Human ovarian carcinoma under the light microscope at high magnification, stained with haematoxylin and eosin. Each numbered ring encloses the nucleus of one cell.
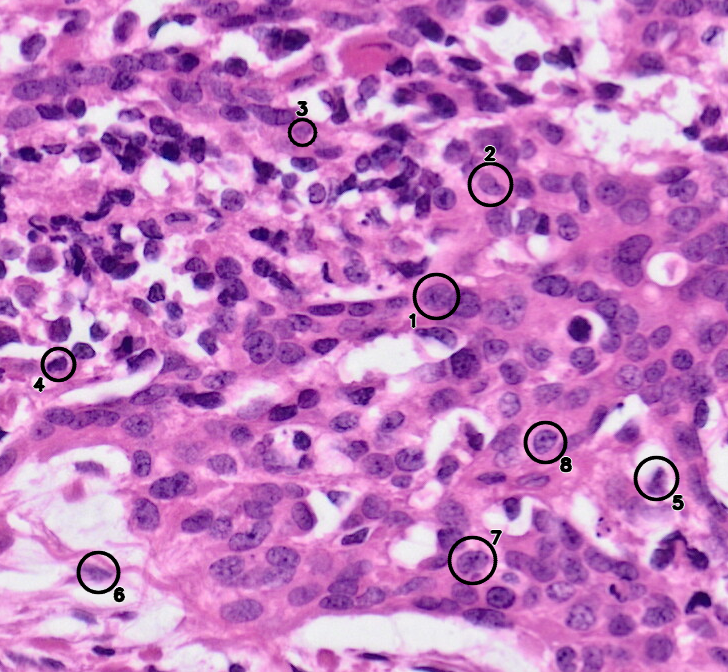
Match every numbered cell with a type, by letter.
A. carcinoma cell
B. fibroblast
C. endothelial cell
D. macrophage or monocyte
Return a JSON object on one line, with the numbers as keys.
{"1": "A", "2": "D", "3": "A", "4": "A", "5": "A", "6": "B", "7": "D", "8": "D"}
